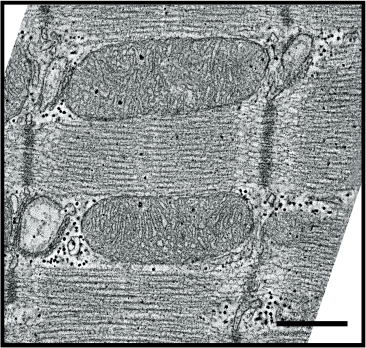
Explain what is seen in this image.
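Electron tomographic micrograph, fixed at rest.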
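Bundles of fine parallel myofilaments run horizontally across the field, crossed at regular intervals by dark vertical lines marking the sarcomere borders. Between the myofibrils lie large oval mitochondria packed with tightly folded inner membranes, their long axes running along the filaments. Each mitochondrion spans roughly the length of one sarcomere and lies between neighbouring dark transverse lines. Small dark granules and membranous profiles gather in the spaces at the ends of the mitochondria near the transverse lines.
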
